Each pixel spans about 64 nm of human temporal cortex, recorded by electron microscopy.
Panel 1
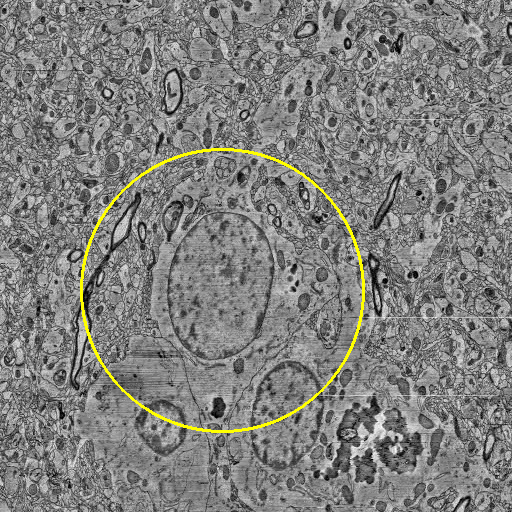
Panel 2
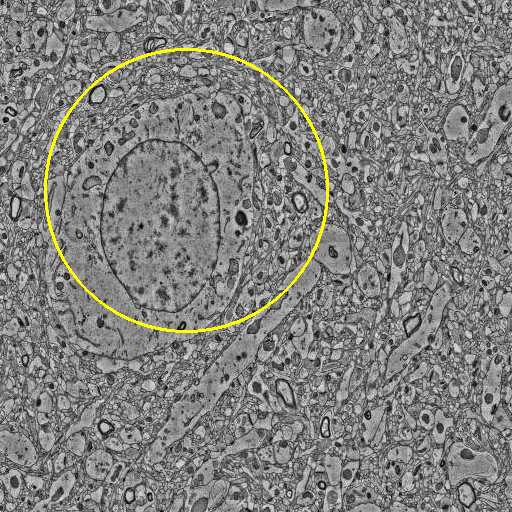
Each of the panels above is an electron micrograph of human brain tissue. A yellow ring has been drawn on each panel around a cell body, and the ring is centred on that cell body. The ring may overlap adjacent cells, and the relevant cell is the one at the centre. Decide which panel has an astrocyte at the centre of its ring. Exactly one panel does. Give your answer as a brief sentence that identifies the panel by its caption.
Panel 1 is the one with it at the centre of the ring.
